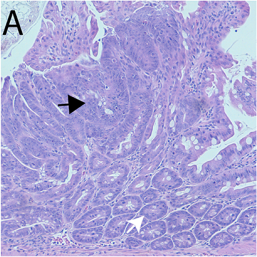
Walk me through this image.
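A section of small intestine shows a region of dysplasia in which the epithelium is crowded and disorganized, with densely packed purple nuclei and irregular glandular structures. Below it, crypts cut in cross-section appear as orderly rounded rings of epithelial cells around small lumens. The dysplastic area lies above and beside these more regular crypts, with pink connective tissue between them.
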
